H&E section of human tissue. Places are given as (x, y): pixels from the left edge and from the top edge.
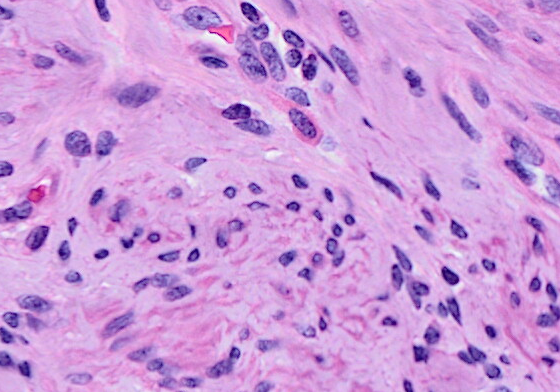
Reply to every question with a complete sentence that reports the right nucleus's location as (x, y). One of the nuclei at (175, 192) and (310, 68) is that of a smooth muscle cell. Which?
The nucleus lying at (175, 192) is the nucleus of a smooth muscle cell.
